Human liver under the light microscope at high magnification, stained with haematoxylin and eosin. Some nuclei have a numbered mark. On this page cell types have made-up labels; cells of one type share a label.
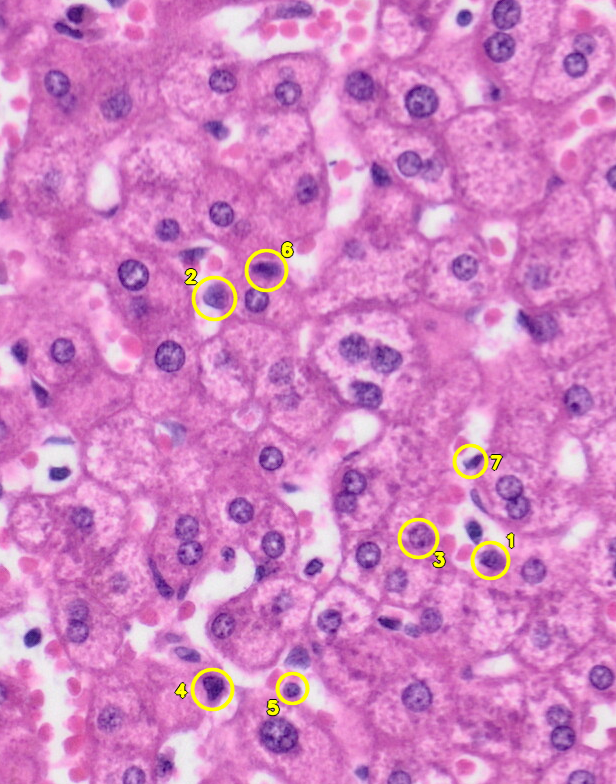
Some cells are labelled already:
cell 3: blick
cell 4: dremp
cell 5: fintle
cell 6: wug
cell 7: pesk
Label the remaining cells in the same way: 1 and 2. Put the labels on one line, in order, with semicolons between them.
dremp; pesk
